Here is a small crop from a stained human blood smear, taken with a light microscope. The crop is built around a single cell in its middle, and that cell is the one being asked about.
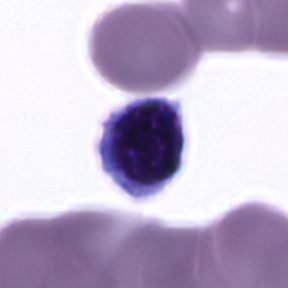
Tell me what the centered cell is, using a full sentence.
The middle cell in this particular crop is a plasma cell.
